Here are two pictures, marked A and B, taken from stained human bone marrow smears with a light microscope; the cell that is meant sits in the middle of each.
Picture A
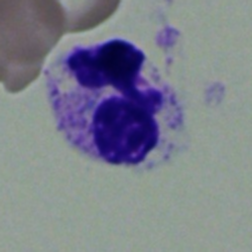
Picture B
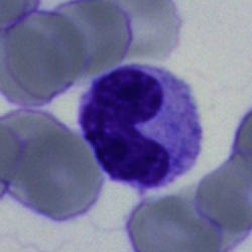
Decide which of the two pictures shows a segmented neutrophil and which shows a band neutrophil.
A: segmented neutrophil
B: band neutrophil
